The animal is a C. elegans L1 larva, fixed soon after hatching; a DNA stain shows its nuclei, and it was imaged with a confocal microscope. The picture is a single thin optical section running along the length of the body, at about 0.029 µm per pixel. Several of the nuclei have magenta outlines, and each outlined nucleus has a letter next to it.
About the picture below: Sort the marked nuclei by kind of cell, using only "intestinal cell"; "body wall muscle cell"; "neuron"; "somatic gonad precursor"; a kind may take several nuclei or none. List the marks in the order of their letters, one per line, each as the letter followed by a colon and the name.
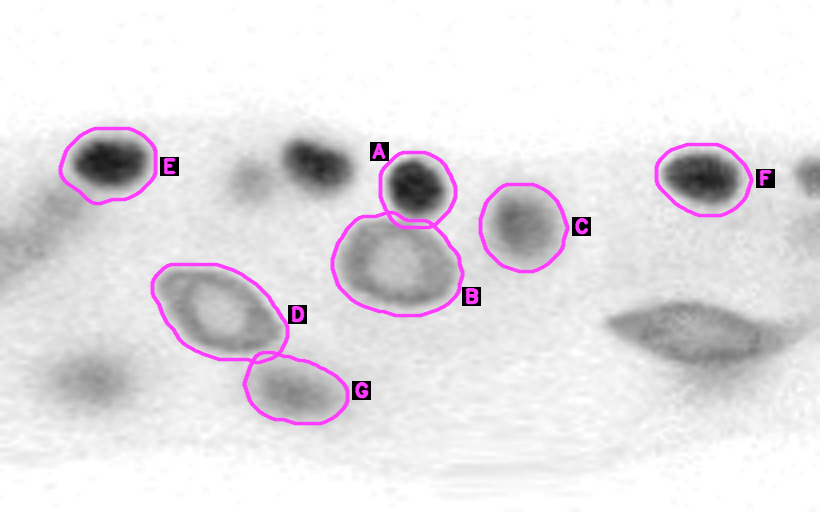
A: neuron
B: intestinal cell
C: body wall muscle cell
D: intestinal cell
E: neuron
F: neuron
G: body wall muscle cell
